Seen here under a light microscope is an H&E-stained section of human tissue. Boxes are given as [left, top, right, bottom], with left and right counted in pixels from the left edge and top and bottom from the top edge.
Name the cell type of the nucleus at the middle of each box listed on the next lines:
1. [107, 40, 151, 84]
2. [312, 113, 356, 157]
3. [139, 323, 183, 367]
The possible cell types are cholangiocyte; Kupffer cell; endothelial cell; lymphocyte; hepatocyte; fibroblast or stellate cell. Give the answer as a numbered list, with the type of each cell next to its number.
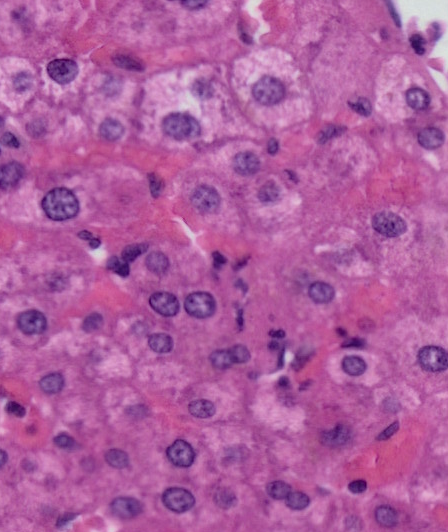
1. endothelial cell
2. endothelial cell
3. hepatocyte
